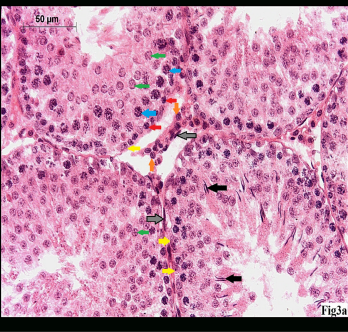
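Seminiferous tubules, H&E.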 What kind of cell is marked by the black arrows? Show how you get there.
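Sperm. The arrows point to slender dark elongated heads near the tubule lumen. Pale tail-like filaments extend into the lumen.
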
